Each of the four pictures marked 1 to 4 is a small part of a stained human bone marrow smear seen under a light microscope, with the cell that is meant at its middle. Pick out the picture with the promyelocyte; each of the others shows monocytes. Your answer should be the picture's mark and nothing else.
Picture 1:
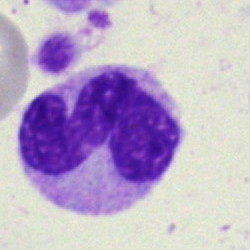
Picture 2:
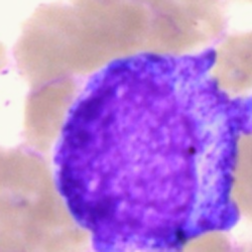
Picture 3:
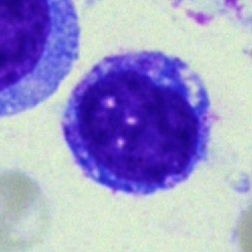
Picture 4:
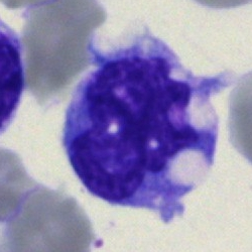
2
